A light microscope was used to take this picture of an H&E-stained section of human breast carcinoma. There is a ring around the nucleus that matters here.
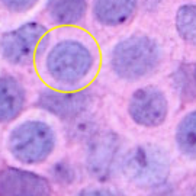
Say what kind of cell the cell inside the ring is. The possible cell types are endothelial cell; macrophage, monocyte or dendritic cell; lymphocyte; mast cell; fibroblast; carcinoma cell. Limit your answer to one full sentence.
On this particular slide, the cell inside the ring is a carcinoma cell.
